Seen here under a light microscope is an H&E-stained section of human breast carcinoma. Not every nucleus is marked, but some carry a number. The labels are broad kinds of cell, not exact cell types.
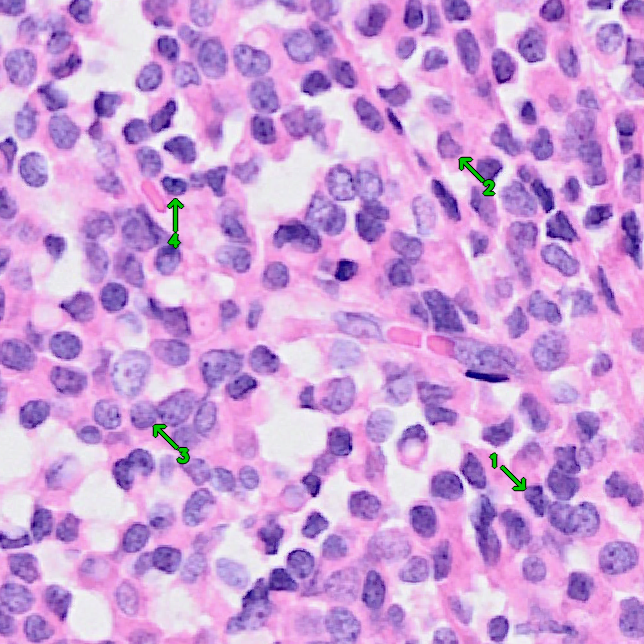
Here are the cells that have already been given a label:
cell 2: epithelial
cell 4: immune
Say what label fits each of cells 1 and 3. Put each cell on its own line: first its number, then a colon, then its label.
1: epithelial
3: epithelial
